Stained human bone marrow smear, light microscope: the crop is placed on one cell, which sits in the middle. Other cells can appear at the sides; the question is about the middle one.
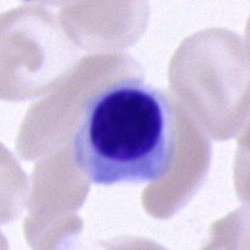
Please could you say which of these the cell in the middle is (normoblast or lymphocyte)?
normoblast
